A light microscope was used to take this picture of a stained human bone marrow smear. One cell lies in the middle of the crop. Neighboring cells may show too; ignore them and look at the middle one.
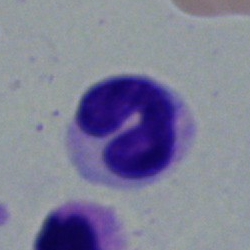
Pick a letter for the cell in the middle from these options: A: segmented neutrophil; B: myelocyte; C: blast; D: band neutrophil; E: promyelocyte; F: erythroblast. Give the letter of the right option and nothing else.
D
